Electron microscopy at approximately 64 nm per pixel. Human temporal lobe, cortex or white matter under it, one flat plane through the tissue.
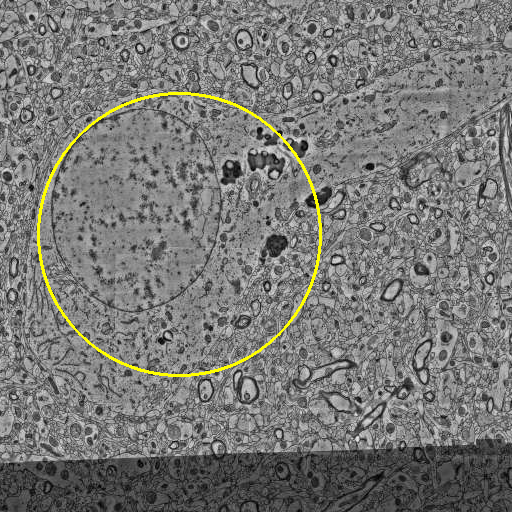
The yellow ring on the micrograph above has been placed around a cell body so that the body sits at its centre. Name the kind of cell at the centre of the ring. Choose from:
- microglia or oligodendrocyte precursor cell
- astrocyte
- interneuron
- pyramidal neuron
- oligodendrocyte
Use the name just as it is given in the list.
pyramidal neuron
